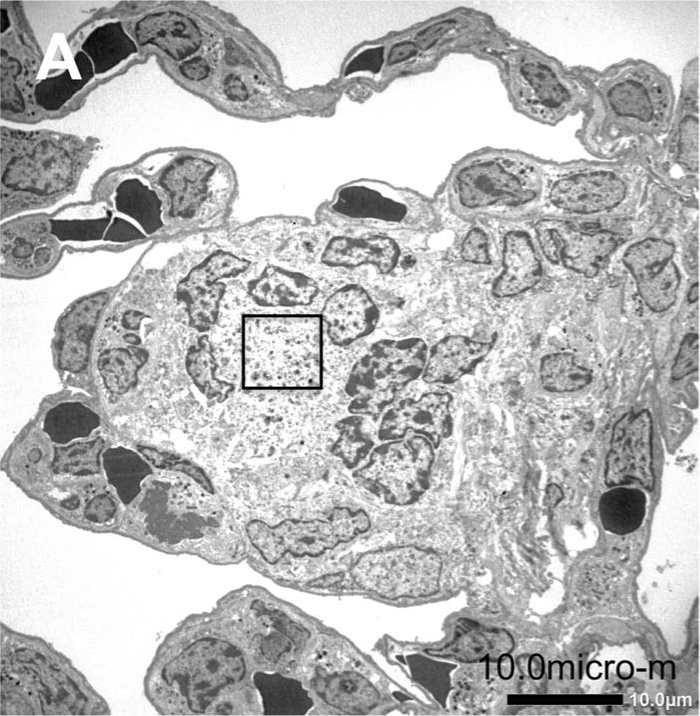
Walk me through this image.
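Lung, electron micrograph: a multinucleated giant cell sits within an alveolus, flanked by thin alveolar septa. The giant cell is large and rounded. Several irregular, indented nuclei with dark chromatin clumped along the nuclear envelope are gathered in it. Its pale cytoplasm is finely granular and mottled with fibrillar material. The surrounding septa are thin and lined by flattened cells. The capillaries in the septa hold electron-dense red blood cells. Open airspaces lie above the septa and below them.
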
